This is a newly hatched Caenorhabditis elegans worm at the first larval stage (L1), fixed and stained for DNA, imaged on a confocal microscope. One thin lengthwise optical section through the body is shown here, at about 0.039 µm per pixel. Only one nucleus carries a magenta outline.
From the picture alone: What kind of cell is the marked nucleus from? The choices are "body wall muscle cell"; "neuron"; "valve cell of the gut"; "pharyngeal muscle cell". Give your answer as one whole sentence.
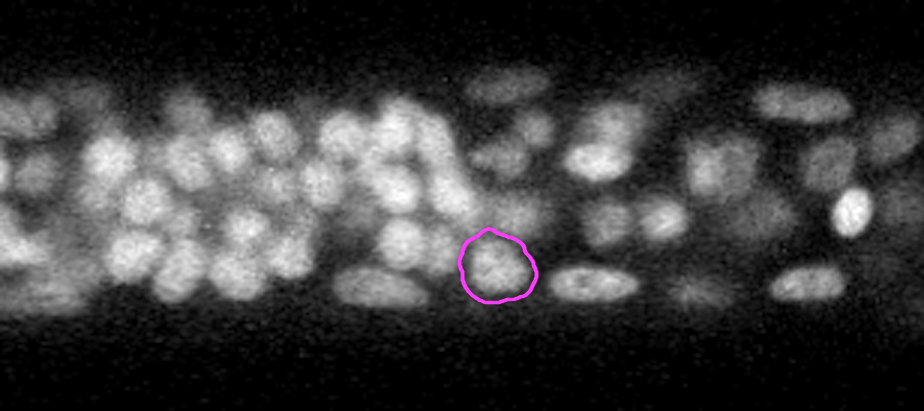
The marked nucleus belongs to a body wall muscle cell.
